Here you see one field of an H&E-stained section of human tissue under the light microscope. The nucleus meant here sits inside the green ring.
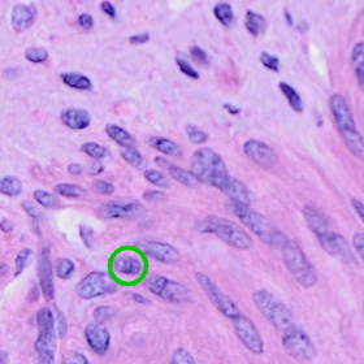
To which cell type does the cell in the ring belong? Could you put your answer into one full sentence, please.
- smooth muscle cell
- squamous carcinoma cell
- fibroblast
Histopathologically, the cell in the ring is a smooth muscle cell.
